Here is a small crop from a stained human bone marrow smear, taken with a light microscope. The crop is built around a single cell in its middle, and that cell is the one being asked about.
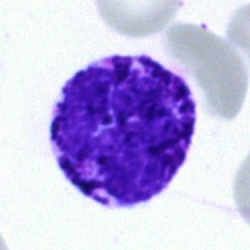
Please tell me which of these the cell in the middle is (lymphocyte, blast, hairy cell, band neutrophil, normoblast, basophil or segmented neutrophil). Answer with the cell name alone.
basophil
